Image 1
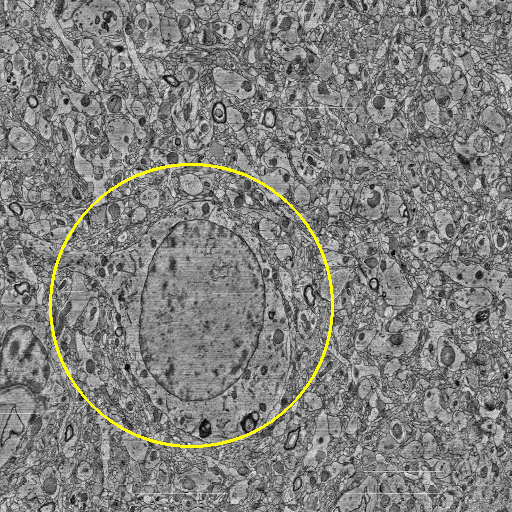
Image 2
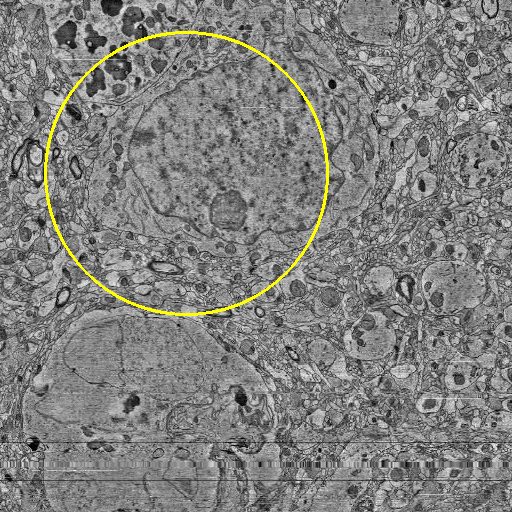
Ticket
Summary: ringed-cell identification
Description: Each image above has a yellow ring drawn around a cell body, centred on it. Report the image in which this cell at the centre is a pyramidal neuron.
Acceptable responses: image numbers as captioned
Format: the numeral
1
